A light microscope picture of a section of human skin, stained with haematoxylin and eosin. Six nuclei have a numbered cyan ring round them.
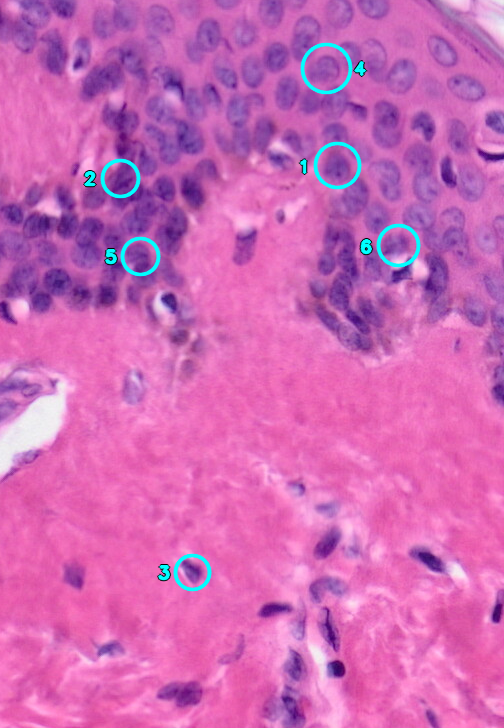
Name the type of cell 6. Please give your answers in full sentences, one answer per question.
The cell that goes by number 6 is a basal keratinocyte.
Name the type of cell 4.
Cell 4 in the field is a suprabasal keratinocyte.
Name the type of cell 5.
The cell that bears the number 5 is a basal keratinocyte.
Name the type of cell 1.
Number 1 is placed on a basal keratinocyte here.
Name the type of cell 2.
The numeral 2 marks a basal keratinocyte in this section.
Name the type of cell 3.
The cell that bears the number 3 is a fibroblast.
